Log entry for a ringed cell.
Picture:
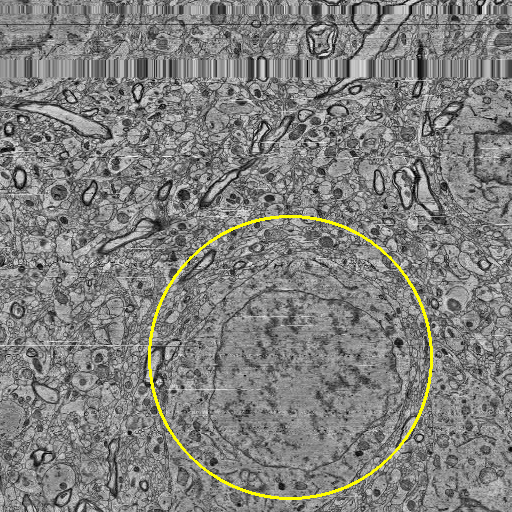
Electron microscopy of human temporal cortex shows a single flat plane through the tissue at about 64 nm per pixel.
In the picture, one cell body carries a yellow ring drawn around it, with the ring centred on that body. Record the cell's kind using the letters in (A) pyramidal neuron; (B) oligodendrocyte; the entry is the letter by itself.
A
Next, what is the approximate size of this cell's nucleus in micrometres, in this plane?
About 13 micrometres across, as seen in this plane.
